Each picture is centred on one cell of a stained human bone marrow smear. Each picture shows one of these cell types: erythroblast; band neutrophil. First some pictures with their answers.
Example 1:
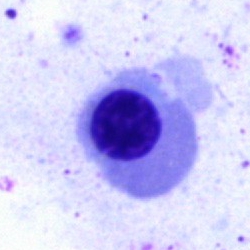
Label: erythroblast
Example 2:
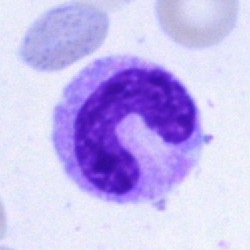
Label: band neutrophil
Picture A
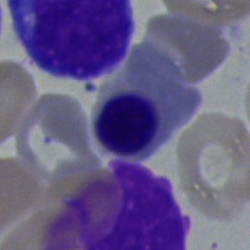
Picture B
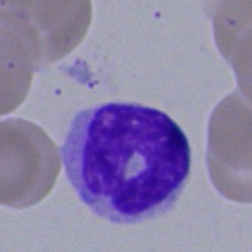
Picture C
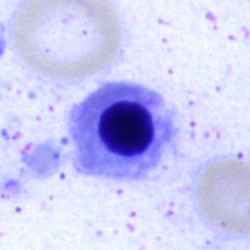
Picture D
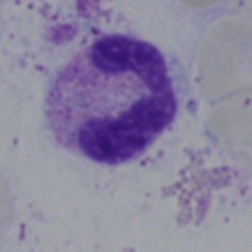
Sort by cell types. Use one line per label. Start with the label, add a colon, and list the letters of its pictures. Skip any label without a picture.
erythroblast: A, C
band neutrophil: B, D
